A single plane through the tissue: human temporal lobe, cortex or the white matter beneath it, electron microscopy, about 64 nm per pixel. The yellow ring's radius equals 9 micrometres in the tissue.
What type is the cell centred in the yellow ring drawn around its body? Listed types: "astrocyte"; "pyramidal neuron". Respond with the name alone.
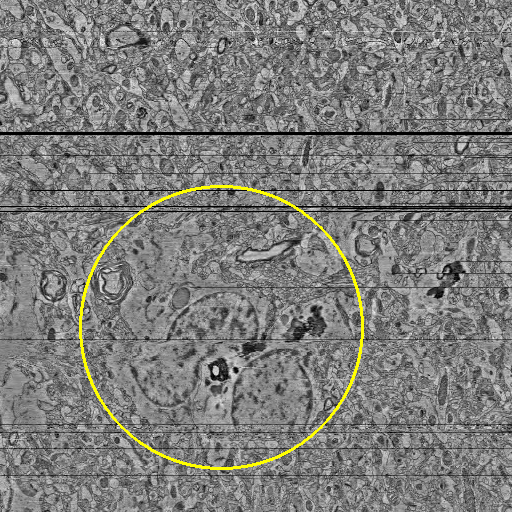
astrocyte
